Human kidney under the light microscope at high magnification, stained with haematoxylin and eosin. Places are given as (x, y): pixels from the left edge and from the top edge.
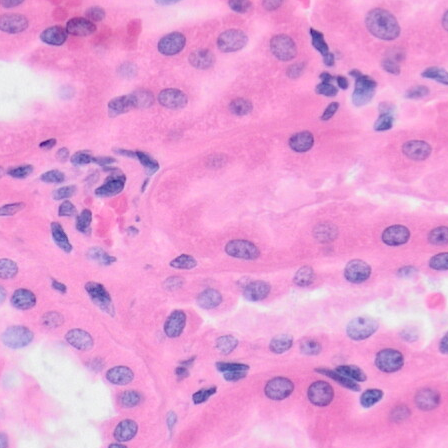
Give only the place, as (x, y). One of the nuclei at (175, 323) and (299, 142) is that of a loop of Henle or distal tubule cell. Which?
(175, 323)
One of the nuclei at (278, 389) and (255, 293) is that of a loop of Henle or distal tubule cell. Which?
(255, 293)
